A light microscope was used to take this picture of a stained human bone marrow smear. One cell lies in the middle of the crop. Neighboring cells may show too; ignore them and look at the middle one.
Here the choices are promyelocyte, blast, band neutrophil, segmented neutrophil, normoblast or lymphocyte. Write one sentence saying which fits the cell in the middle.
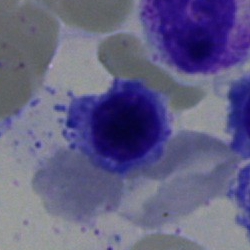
The cell nearest the centre of this crop is a normoblast.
